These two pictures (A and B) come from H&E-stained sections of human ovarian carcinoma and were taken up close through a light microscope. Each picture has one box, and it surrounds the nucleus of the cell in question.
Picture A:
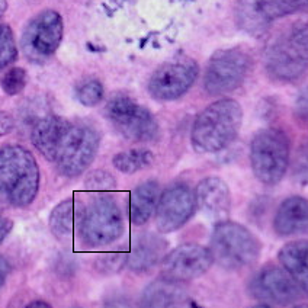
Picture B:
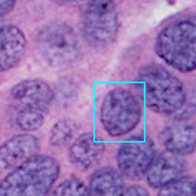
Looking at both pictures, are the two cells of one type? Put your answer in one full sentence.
Yes, both are carcinoma cells.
